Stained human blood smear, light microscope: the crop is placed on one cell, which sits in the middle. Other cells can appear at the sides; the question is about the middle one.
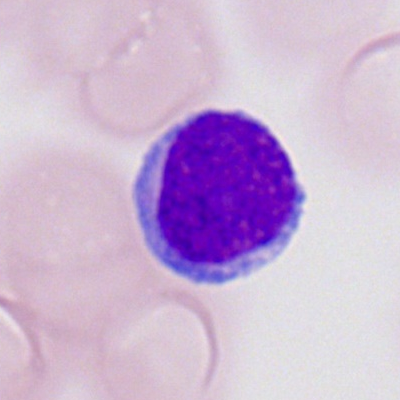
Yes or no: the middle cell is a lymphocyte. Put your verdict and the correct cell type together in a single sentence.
Yes, the cell centred in this crop is a lymphocyte.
